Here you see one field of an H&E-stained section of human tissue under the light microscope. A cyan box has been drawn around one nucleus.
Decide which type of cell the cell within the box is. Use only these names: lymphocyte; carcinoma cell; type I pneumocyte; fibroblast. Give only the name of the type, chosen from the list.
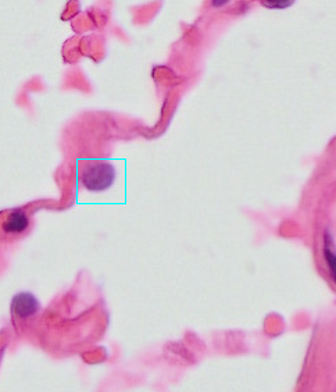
type I pneumocyte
